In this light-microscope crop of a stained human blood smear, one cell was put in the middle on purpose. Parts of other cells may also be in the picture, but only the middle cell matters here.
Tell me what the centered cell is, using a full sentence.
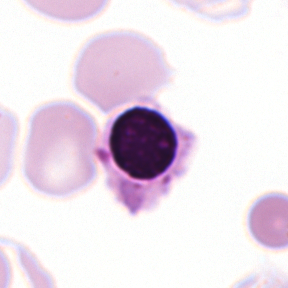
In this crop, the cell at the very middle is an erythroblast.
